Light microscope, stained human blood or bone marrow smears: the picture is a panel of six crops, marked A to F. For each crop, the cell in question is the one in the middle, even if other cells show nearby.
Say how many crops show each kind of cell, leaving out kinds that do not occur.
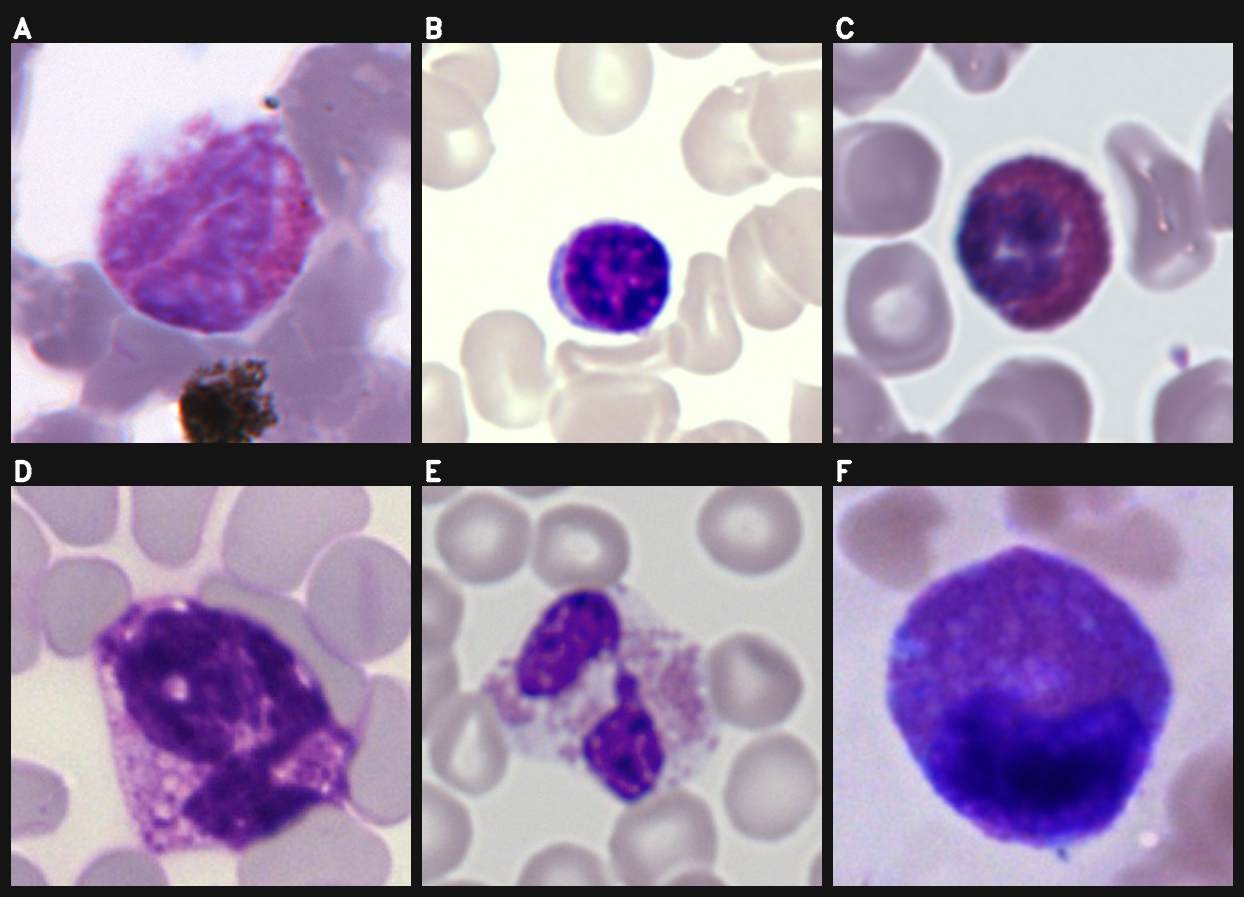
eosinophil: 4
lymphocyte: 1
basophil: 1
